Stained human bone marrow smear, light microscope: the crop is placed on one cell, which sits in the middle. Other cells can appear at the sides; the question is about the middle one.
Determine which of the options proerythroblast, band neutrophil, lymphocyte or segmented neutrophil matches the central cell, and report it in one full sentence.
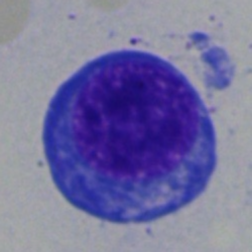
The cell at the middle of the frame should be recorded as a proerythroblast.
